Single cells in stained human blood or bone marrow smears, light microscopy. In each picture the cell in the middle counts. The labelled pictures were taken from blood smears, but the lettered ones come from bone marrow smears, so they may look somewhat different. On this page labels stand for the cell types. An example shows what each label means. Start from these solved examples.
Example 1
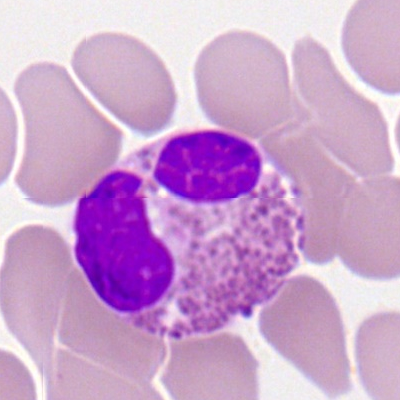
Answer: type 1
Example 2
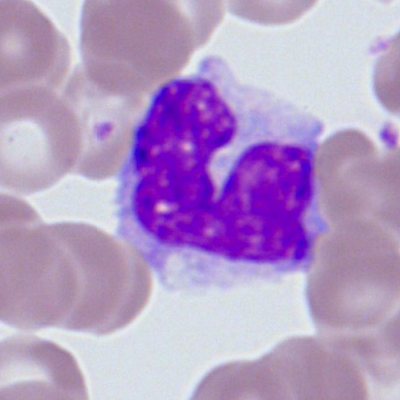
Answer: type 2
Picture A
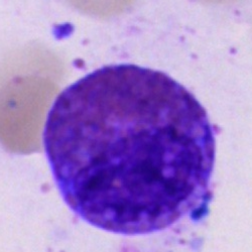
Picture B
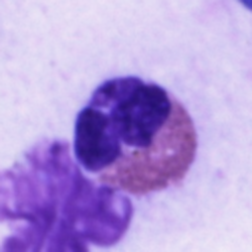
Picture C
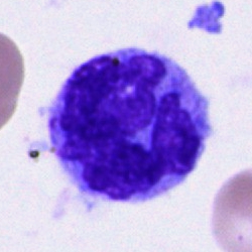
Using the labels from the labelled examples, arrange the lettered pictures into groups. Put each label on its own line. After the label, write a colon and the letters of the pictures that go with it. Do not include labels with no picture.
type 1: A, B
type 2: C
